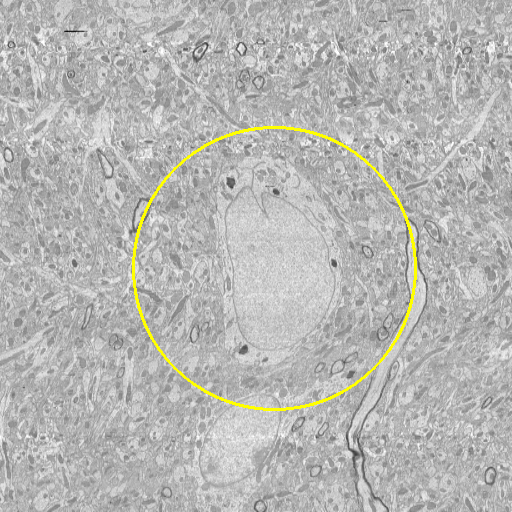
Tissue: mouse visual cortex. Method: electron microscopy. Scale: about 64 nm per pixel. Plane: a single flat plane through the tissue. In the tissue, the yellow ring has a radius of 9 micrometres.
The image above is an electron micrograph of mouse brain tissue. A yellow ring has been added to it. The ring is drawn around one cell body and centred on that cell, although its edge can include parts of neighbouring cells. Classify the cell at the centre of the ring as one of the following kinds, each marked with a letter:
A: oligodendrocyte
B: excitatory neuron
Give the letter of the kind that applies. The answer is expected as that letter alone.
B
